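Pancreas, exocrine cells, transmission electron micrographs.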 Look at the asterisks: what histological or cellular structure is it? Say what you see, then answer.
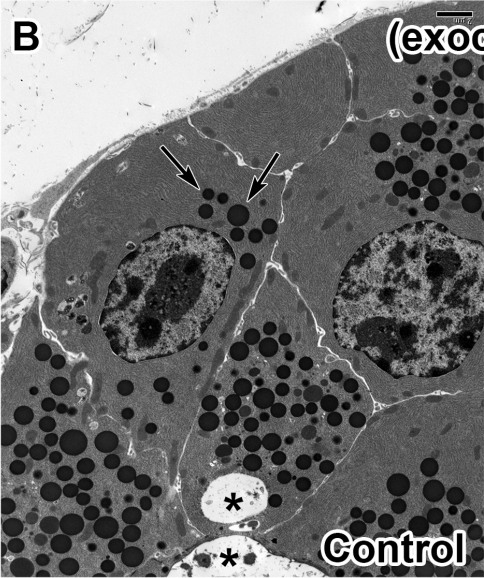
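The asterisks lie in pale, nearly empty spaces. The spaces are surrounded by cells filled with dark granules. So: lumen of acini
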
